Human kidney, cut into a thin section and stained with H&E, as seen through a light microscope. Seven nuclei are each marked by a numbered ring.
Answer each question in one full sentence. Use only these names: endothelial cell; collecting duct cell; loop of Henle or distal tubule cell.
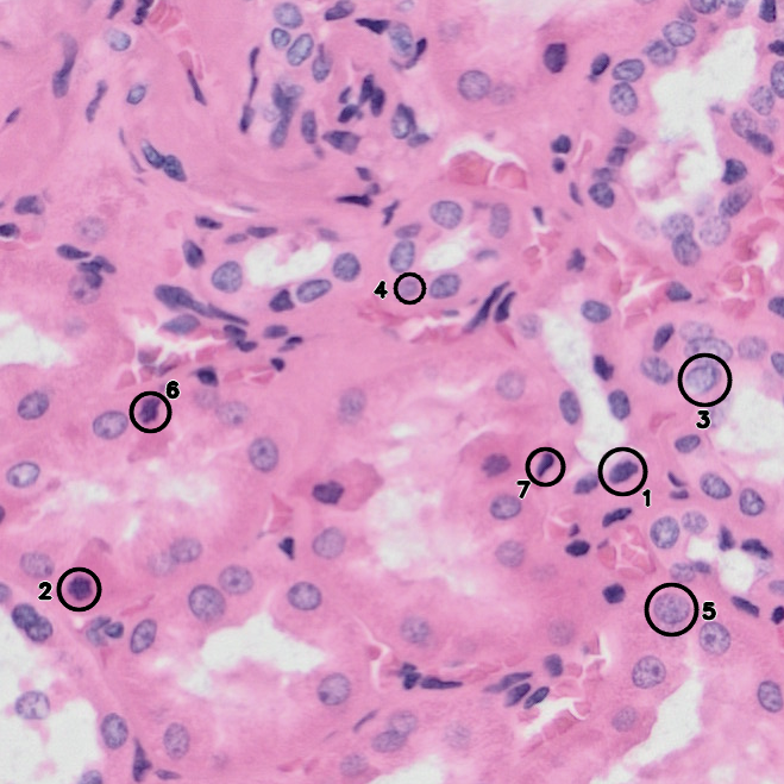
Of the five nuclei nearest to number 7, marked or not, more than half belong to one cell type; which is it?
Of the five nuclei nearest to number 7, most belong to loop of Henle or distal tubule cells.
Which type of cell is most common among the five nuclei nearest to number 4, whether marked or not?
Collecting duct cells account for more than half of the five nuclei nearest to number 4.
